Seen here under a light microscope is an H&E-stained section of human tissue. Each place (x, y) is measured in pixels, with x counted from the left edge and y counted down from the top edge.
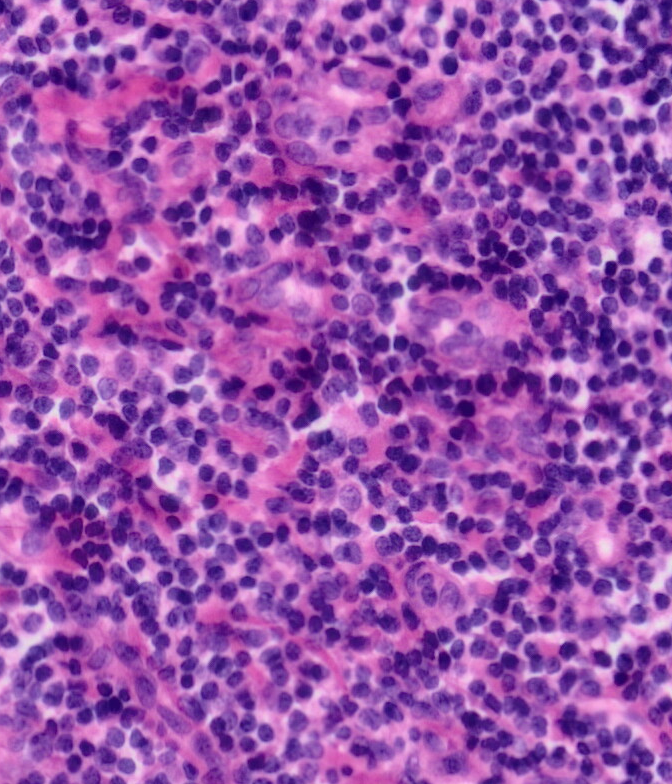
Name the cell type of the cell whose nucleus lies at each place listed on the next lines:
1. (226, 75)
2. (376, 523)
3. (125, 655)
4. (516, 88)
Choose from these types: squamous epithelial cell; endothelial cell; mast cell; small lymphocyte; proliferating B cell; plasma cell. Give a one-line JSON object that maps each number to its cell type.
{"1": "small lymphocyte", "2": "small lymphocyte", "3": "endothelial cell", "4": "small lymphocyte"}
